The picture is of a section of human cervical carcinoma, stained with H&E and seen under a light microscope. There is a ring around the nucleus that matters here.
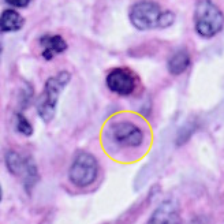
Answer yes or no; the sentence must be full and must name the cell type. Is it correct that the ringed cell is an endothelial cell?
No, not an endothelial cell: the ringed cell is a macrophage or monocyte.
